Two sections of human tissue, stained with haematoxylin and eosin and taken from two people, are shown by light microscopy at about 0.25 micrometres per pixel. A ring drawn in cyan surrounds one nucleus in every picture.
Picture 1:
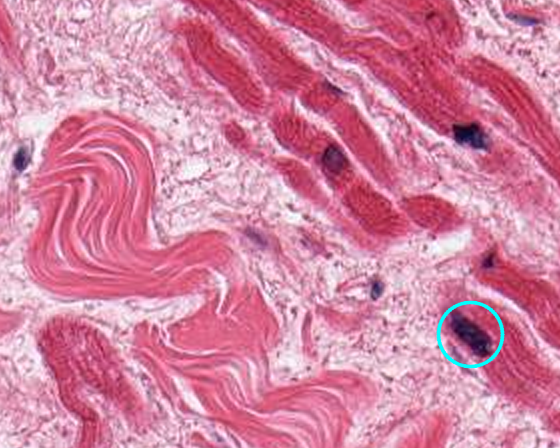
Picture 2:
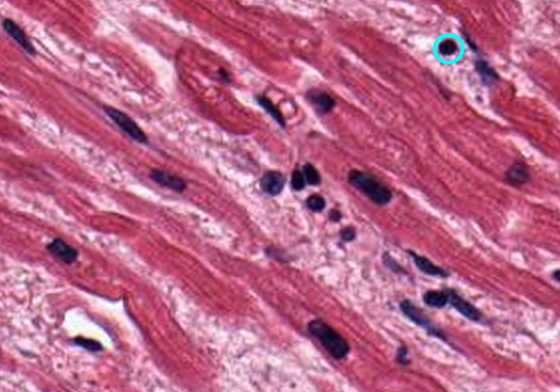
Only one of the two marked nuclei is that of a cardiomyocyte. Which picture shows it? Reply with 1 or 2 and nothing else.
1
